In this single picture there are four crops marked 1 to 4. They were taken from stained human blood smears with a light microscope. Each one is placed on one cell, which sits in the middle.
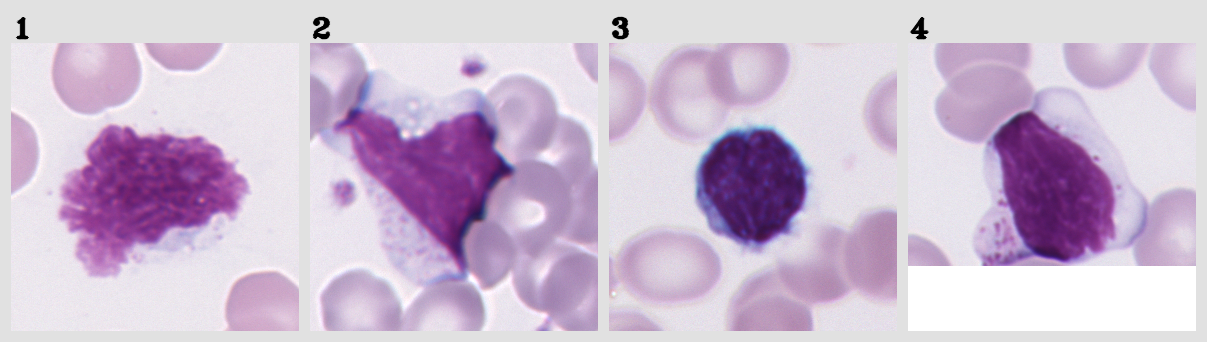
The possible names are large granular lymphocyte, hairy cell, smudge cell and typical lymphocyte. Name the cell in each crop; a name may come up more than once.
1: smudge cell
2: large granular lymphocyte
3: typical lymphocyte
4: large granular lymphocyte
